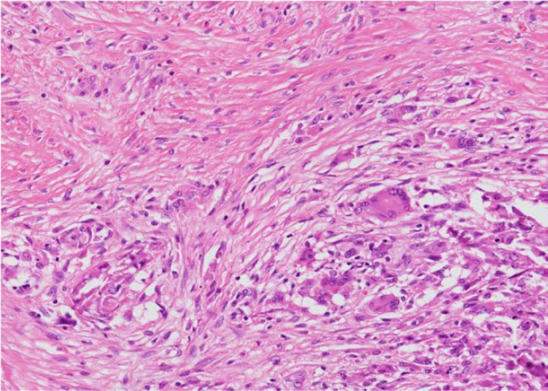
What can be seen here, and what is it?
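This is fibrotic tissue at high magnification, with fibroblasts, histiocytes, lymphocytes and multinucleated giant cells. Much of the field is taken up by wavy pink fibrous stroma in which slender spindle-shaped nuclei run in streams. In the lower half, plumper cells with more pink cytoplasm and oval nuclei cluster together, with small dark round lymphocyte nuclei among them. On the right a large cell with abundant pink cytoplasm holds several nuclei, a multinucleated giant cell. No cohesive sheets of atypical tumour cells are to be seen in the field.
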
